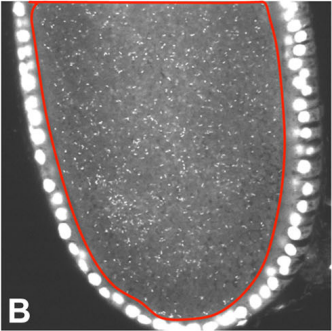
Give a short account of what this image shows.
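A large oocyte, outlined by a red line, fills most of the field and is bordered by a single row of bright round nuclei. Inside the outline the cytoplasm appears grey and finely granular, and no large nucleus is seen in this plane. The bordering nuclei are closely packed, evenly sized and much brighter than anything inside the outlined cell.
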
